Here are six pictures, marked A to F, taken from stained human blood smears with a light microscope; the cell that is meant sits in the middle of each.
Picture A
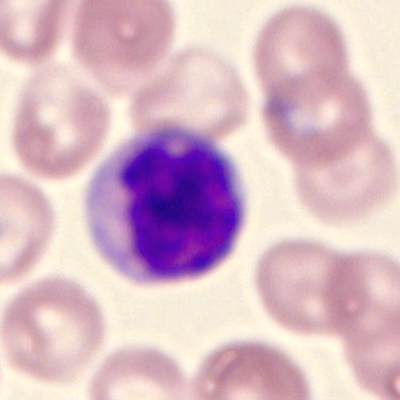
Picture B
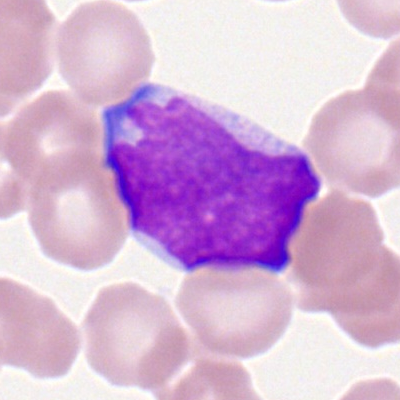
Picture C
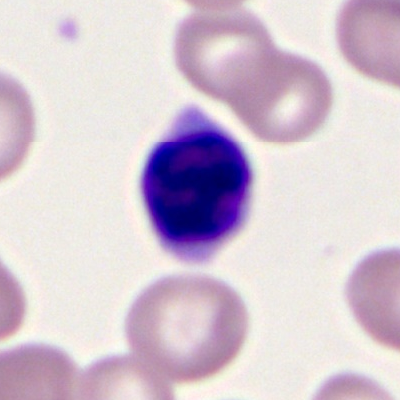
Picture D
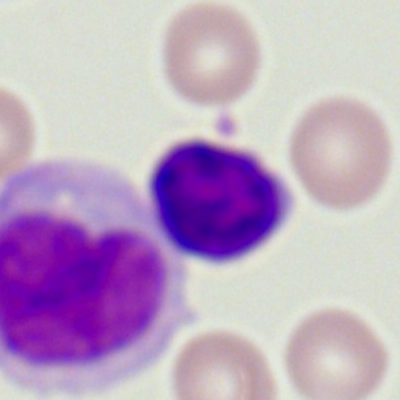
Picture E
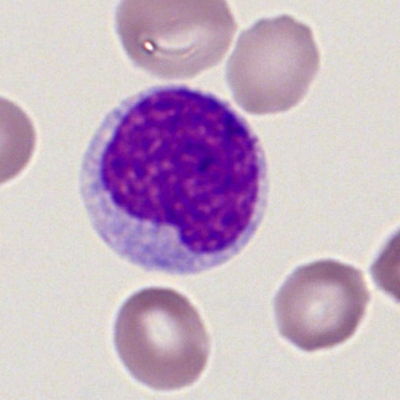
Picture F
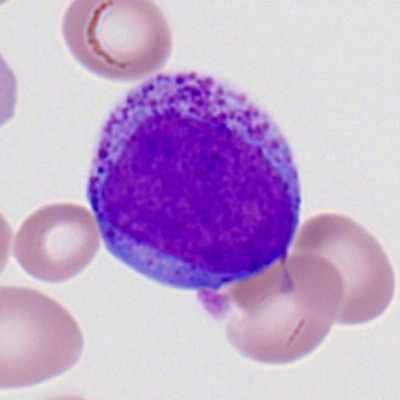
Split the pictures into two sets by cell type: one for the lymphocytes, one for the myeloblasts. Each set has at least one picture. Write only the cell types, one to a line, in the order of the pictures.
lymphocyte
myeloblast
lymphocyte
lymphocyte
lymphocyte
myeloblast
